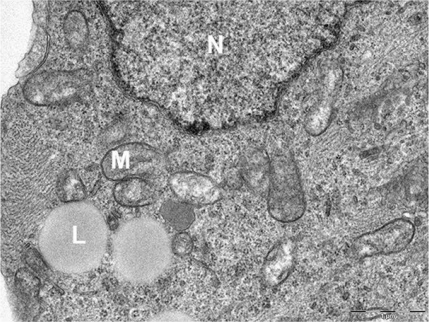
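Transmission electron micrograph of the cytoplasm of a cell next to its nucleus, showing altered mitochondria and lipid droplets. The nucleus occupies the top, bounded by a dark, wavy nuclear envelope over granular chromatin. Below it lie several mitochondria that are rounded or irregular, with a pale, washed-out matrix and sparse, disordered cristae inside their outlines. At lower left two large round, smooth, uniformly grey lipid droplets sit side by side, with a smaller dark round body beside them. The surrounding cytoplasm is finely granular with many small dense particles.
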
